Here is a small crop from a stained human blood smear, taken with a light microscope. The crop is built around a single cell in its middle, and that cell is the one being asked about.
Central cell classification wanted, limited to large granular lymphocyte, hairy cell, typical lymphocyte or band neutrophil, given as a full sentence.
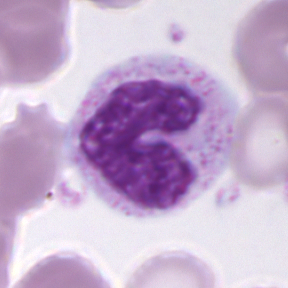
By classification, the middle cell of this crop is a band neutrophil.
